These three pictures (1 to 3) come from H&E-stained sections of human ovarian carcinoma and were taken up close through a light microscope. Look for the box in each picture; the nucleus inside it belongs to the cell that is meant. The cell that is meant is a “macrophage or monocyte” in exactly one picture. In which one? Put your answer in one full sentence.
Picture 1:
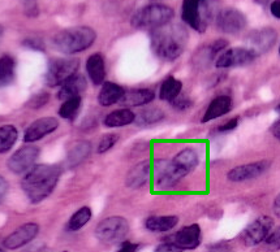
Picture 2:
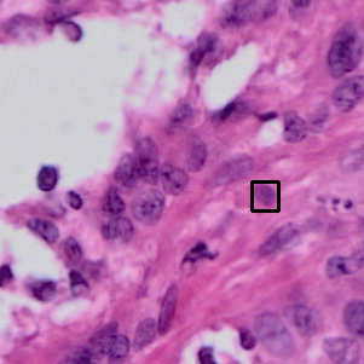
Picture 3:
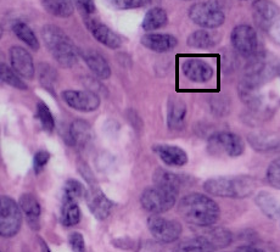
The picture with the “macrophage or monocyte” is 3.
